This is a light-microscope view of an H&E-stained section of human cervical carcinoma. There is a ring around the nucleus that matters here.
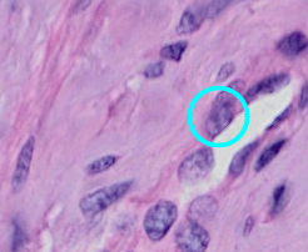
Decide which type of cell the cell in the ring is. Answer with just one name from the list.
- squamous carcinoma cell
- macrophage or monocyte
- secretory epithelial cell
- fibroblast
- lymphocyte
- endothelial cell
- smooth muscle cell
endothelial cell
